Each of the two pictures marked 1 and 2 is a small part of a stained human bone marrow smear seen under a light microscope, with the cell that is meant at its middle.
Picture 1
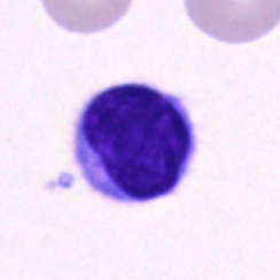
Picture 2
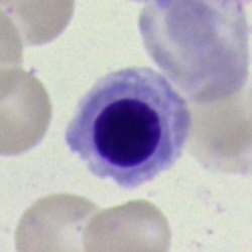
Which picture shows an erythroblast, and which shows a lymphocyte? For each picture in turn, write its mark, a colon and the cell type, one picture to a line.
1: lymphocyte
2: erythroblast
